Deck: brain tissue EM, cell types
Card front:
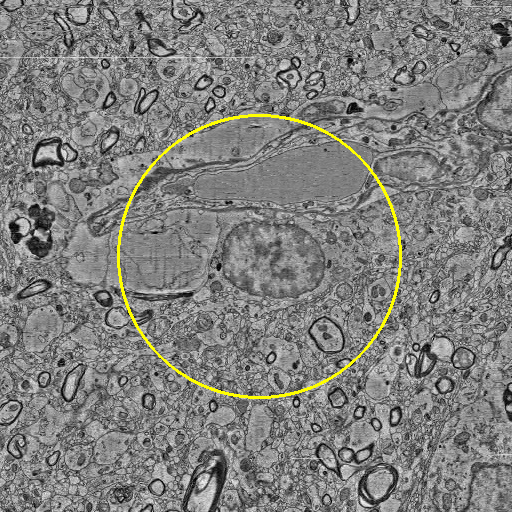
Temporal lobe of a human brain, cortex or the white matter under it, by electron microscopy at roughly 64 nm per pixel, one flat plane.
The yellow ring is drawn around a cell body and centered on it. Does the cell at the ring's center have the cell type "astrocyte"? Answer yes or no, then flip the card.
no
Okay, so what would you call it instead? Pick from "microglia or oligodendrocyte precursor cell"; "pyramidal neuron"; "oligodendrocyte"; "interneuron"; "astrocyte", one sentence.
What the ring encloses here is an oligodendrocyte.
